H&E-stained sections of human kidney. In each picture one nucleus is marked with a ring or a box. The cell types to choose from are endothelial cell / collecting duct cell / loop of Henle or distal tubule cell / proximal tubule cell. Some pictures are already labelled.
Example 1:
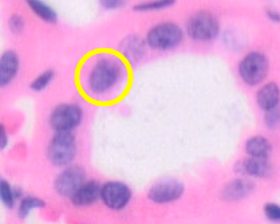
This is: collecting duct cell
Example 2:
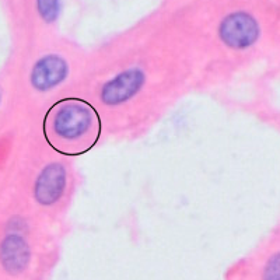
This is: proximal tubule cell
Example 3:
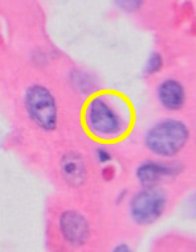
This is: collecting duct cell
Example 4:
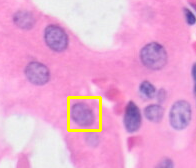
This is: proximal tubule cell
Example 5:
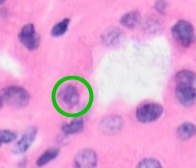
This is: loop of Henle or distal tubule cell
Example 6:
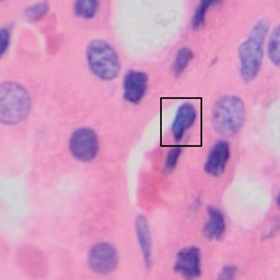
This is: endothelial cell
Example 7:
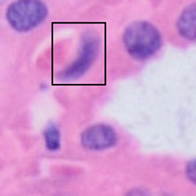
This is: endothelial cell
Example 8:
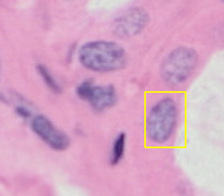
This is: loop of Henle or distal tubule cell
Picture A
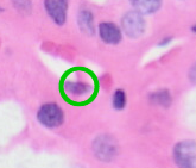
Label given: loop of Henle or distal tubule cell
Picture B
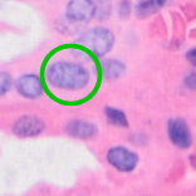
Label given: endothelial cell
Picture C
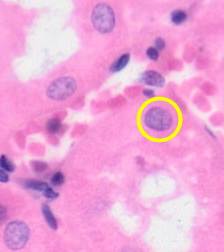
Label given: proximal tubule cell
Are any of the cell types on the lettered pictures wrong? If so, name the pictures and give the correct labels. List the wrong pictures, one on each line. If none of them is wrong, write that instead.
A should be endothelial cell, not loop of Henle or distal tubule cell
B should be collecting duct cell, not endothelial cell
